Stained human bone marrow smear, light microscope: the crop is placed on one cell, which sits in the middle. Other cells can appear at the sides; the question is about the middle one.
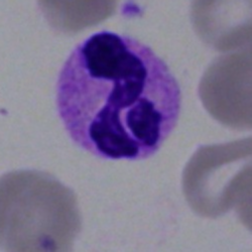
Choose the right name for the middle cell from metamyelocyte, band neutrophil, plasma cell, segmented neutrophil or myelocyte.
segmented neutrophil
